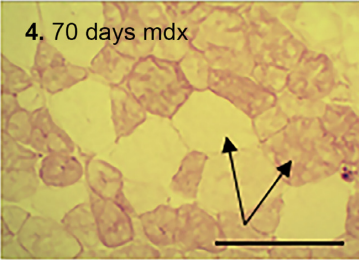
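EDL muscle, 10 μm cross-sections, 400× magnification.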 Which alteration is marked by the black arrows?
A: A darkly stained fiber next to a weakly stained fiber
